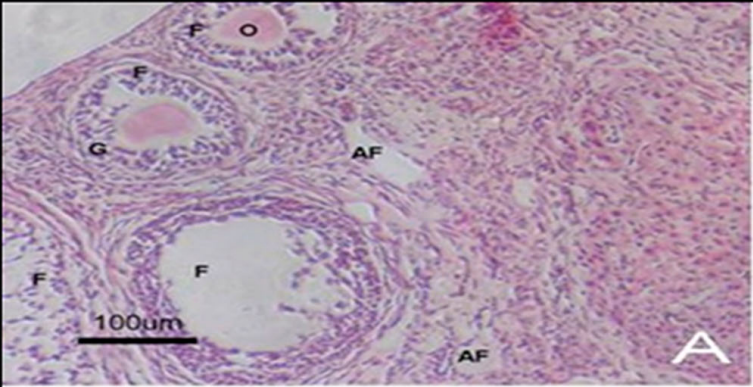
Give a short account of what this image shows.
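Section of ovary stained pink and purple, showing several follicles at different stages set in densely cellular tissue. The larger follicles have several layers of purple-nucleated cells surrounding a pale cavity or a pink oocyte and are wrapped by flattened, concentrically arranged cells. Small collapsed pale spaces lie scattered in the surrounding tissue.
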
